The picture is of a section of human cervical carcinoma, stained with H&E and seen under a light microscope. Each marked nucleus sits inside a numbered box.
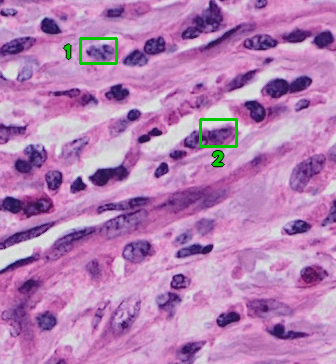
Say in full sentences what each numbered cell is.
Cell 1 is a lymphocyte. Cell 2 is a macrophage or monocyte.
